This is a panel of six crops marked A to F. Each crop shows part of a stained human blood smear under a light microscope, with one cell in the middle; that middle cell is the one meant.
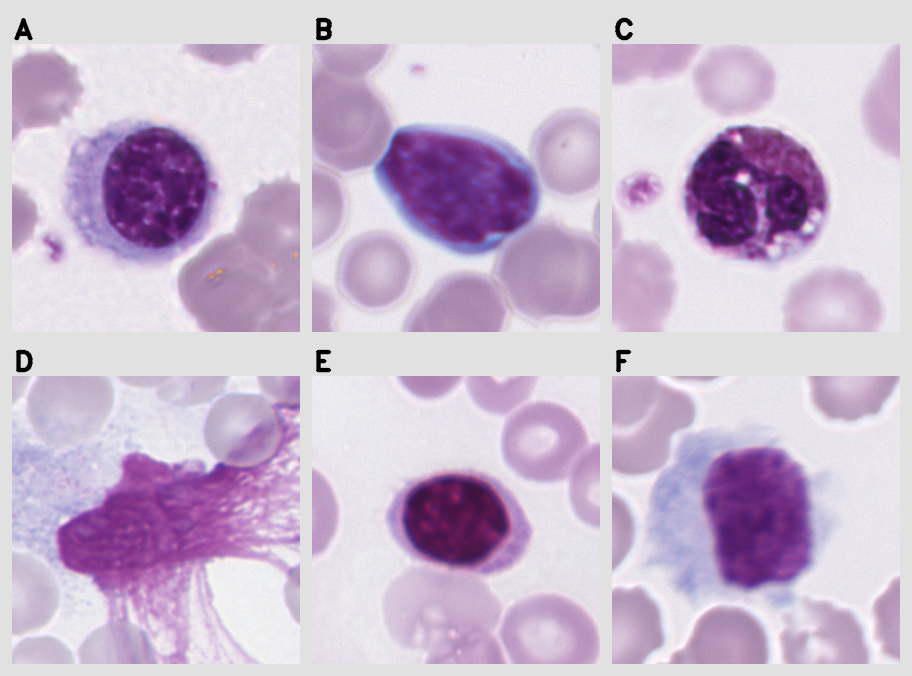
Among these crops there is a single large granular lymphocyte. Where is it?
E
